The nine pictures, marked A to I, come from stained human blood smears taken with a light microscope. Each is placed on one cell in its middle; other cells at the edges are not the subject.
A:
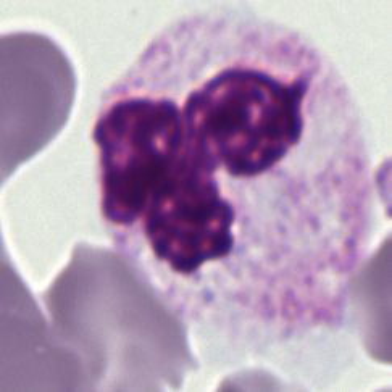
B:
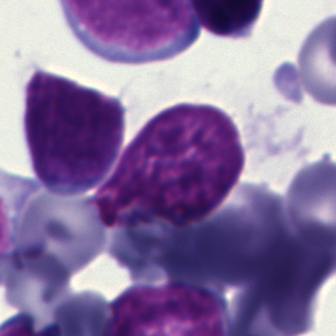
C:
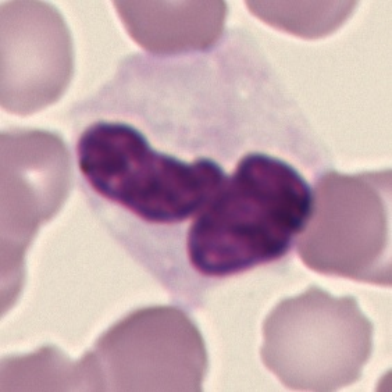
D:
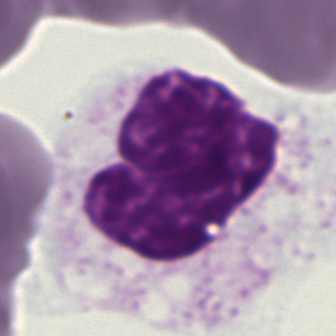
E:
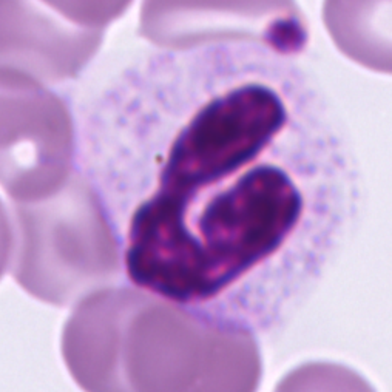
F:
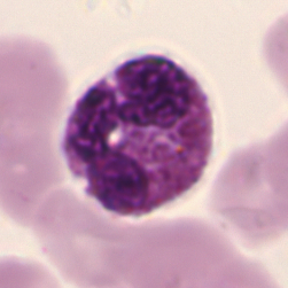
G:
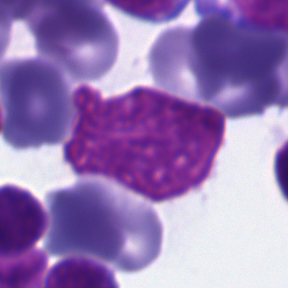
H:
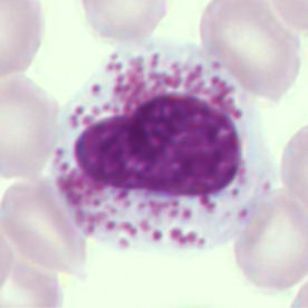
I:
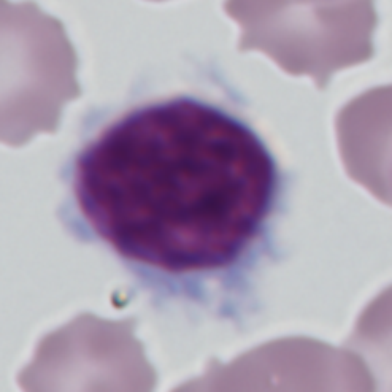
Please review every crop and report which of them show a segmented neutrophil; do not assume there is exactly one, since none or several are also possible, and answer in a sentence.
In crops A, C, D and E, the centrally located cells represent segmented neutrophils.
